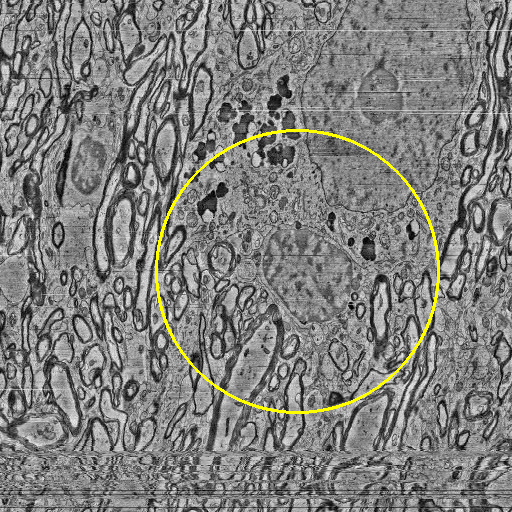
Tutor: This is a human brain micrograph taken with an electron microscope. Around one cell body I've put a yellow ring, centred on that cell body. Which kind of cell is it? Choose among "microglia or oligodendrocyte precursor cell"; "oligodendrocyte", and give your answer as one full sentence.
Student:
Going by your list, the cell centred in the yellow ring is an oligodendrocyte.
